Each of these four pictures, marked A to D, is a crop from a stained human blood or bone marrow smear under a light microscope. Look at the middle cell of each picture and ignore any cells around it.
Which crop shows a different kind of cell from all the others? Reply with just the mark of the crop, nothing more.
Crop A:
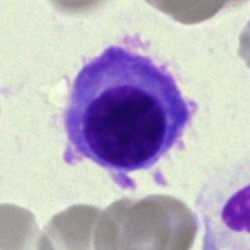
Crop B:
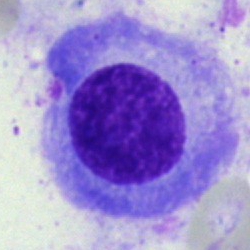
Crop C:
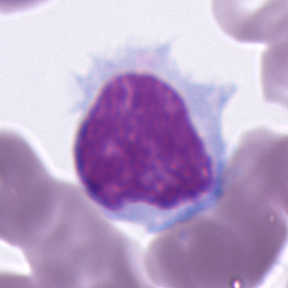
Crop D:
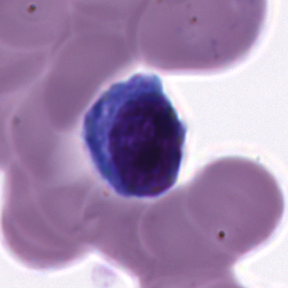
C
